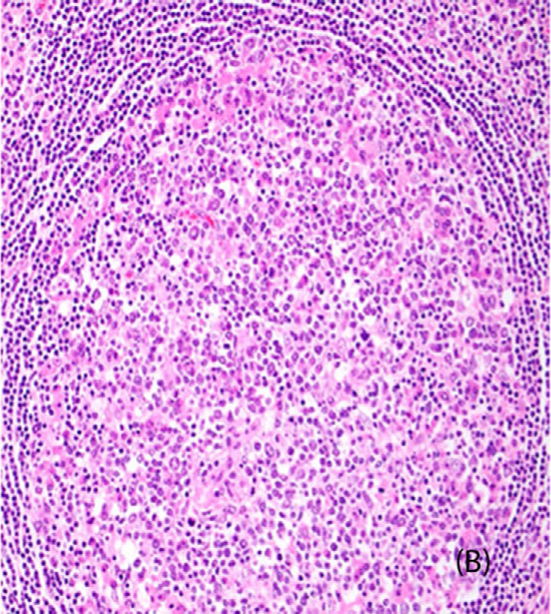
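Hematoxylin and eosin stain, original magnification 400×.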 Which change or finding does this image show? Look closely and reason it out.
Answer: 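Intrafollicular plasmacytosis. A follicle centre is rimmed by a concentric mantle of small dark lymphocytes.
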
